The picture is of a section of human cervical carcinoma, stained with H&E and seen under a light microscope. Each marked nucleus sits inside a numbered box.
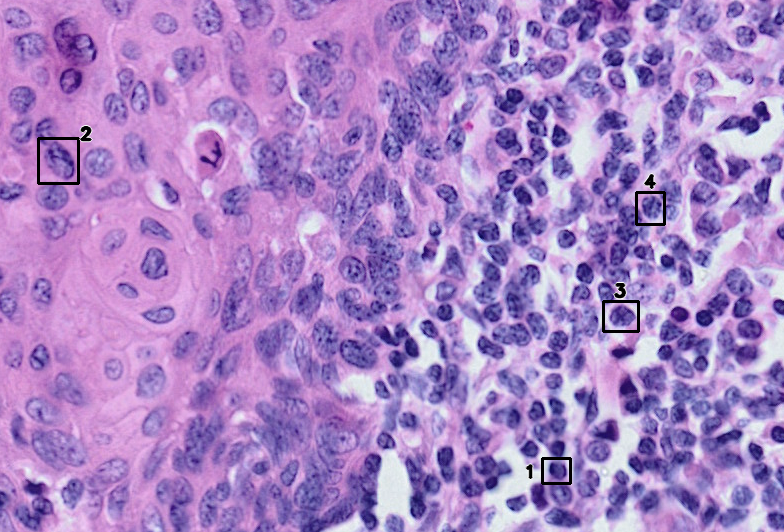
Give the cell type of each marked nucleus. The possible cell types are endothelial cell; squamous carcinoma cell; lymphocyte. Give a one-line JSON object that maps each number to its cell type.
{"1": "lymphocyte", "2": "squamous carcinoma cell", "3": "lymphocyte", "4": "lymphocyte"}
